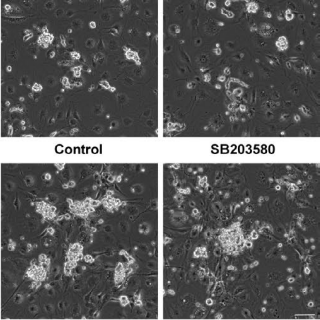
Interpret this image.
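Four phase-contrast fields show small, round, bright-edged cells gathered into compact clusters of varying size. The clusters sit on a background of flatter, irregularly spread cells with greyer outlines.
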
